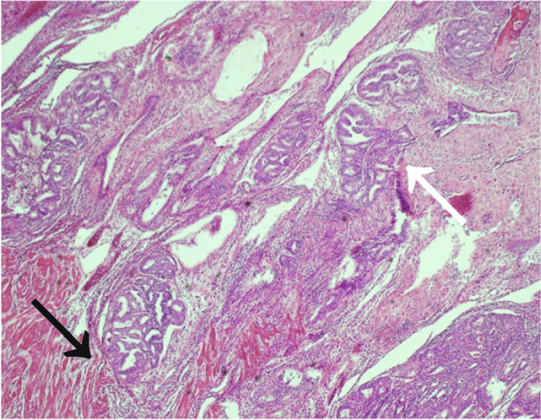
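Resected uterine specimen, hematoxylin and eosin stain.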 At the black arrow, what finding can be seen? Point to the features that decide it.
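The arrow points where tumor glands abut bright pink bundles of smooth muscle. Glands lie among the pink muscle fibres in the lower left.
Hence: myometrial invasion.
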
